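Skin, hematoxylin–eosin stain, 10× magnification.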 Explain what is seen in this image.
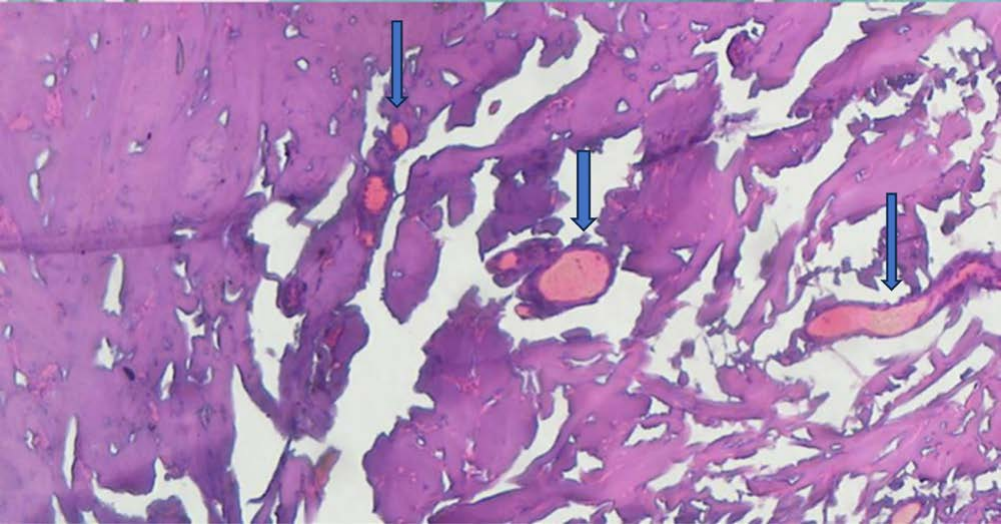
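This is dermis that has died. Normally the dermis is a weave of pink collagen bundles with scattered nuclei, hair follicles and glands. The fibres have fused, and few nuclei can be made out. Many irregular empty clefts split the tissue into islands. No hair follicles or glands remain anywhere. Here and there, small oval or elongated channels are packed with smooth pink-orange material. These are blood vessels, and no individual red cells can be told inside them: the cells have broken down into a uniform mass.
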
